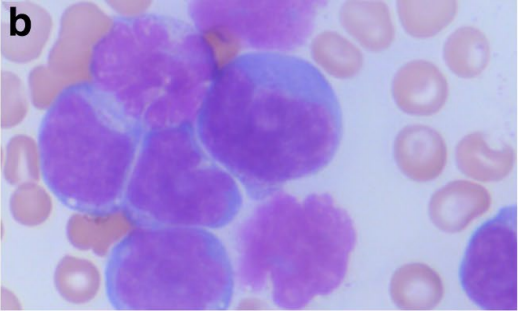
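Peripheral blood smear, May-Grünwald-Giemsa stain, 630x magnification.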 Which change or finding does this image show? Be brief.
Irregular folded nuclei.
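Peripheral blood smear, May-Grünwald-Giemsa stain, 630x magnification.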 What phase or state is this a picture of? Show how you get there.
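Basophilic. The rim of cytoplasm around the nuclei stains blue.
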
